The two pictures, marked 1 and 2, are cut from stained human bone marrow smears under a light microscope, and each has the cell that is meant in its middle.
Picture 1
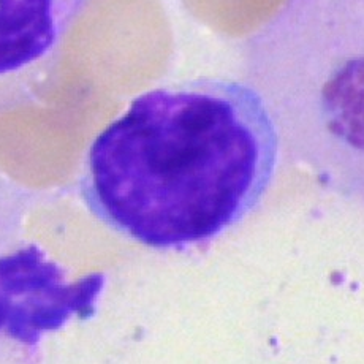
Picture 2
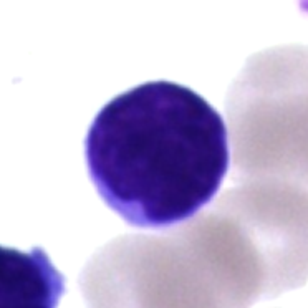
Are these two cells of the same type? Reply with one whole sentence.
Yes, the two pictures both show lymphocytes.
